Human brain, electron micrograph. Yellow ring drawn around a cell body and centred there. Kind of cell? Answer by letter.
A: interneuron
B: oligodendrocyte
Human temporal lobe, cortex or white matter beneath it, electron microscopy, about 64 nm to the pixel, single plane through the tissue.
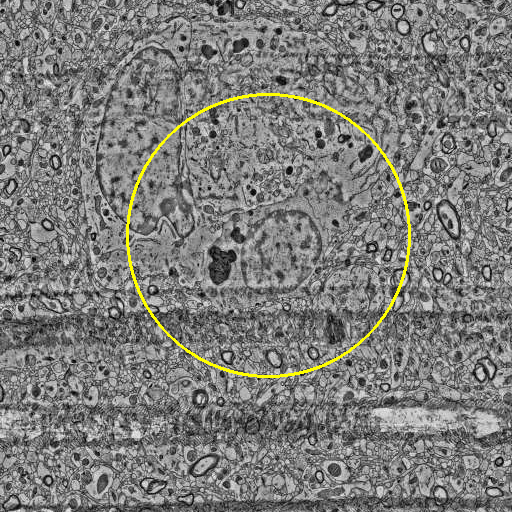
B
